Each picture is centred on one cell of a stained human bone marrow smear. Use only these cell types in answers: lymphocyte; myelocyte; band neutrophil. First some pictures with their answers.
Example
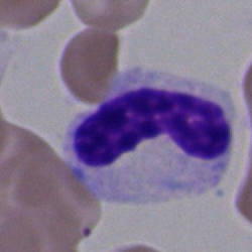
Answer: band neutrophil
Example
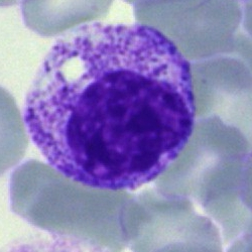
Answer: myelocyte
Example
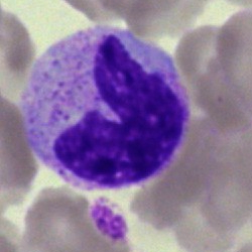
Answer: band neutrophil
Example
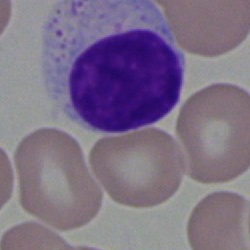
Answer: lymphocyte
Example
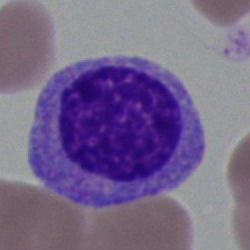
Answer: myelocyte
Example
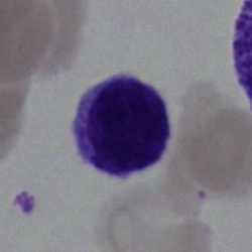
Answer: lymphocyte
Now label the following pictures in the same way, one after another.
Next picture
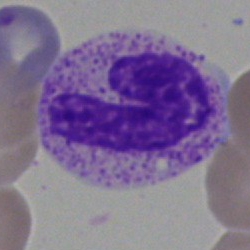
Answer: band neutrophil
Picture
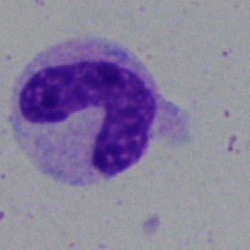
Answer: band neutrophil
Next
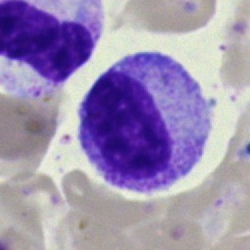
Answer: myelocyte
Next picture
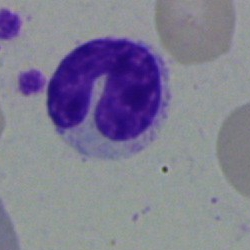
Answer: band neutrophil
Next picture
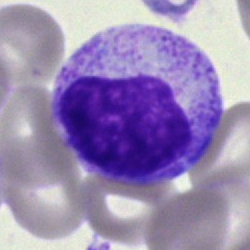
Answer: myelocyte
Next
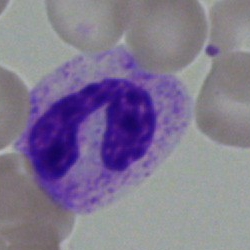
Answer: band neutrophil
